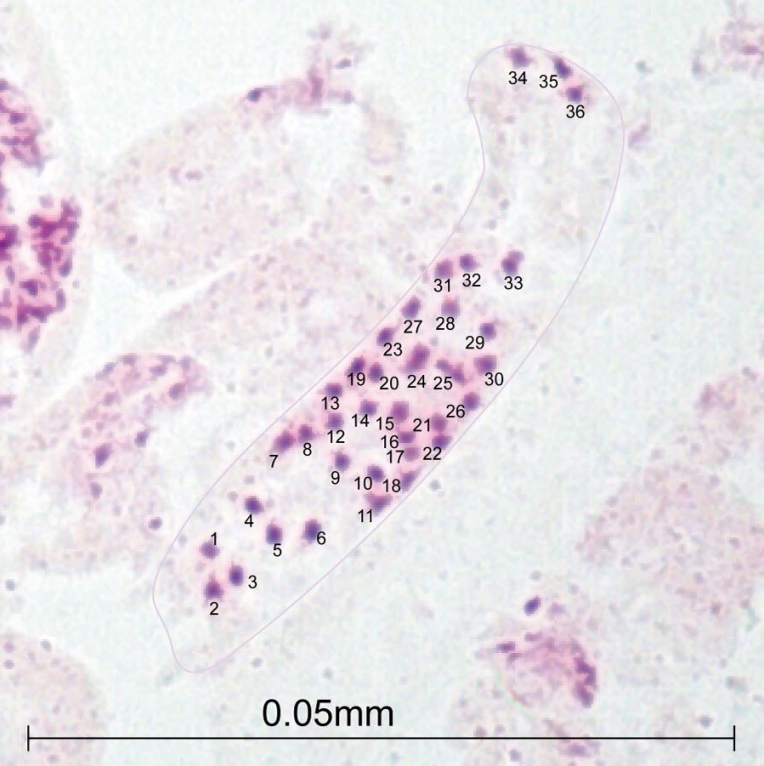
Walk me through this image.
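The chromosomes are short and condensed, without a surrounding nucleus. The cytoplasm is pale and finely granular. Neighbouring cells around it are pale with speckled cytoplasm, and some at the left edge hold clustered dark purple material.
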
